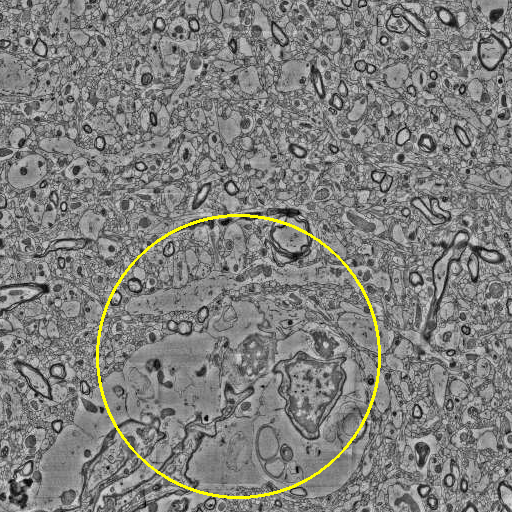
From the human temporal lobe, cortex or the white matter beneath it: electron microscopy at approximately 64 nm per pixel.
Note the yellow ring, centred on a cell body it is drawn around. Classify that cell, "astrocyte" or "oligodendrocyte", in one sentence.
The cell the ring is centred on is an oligodendrocyte.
